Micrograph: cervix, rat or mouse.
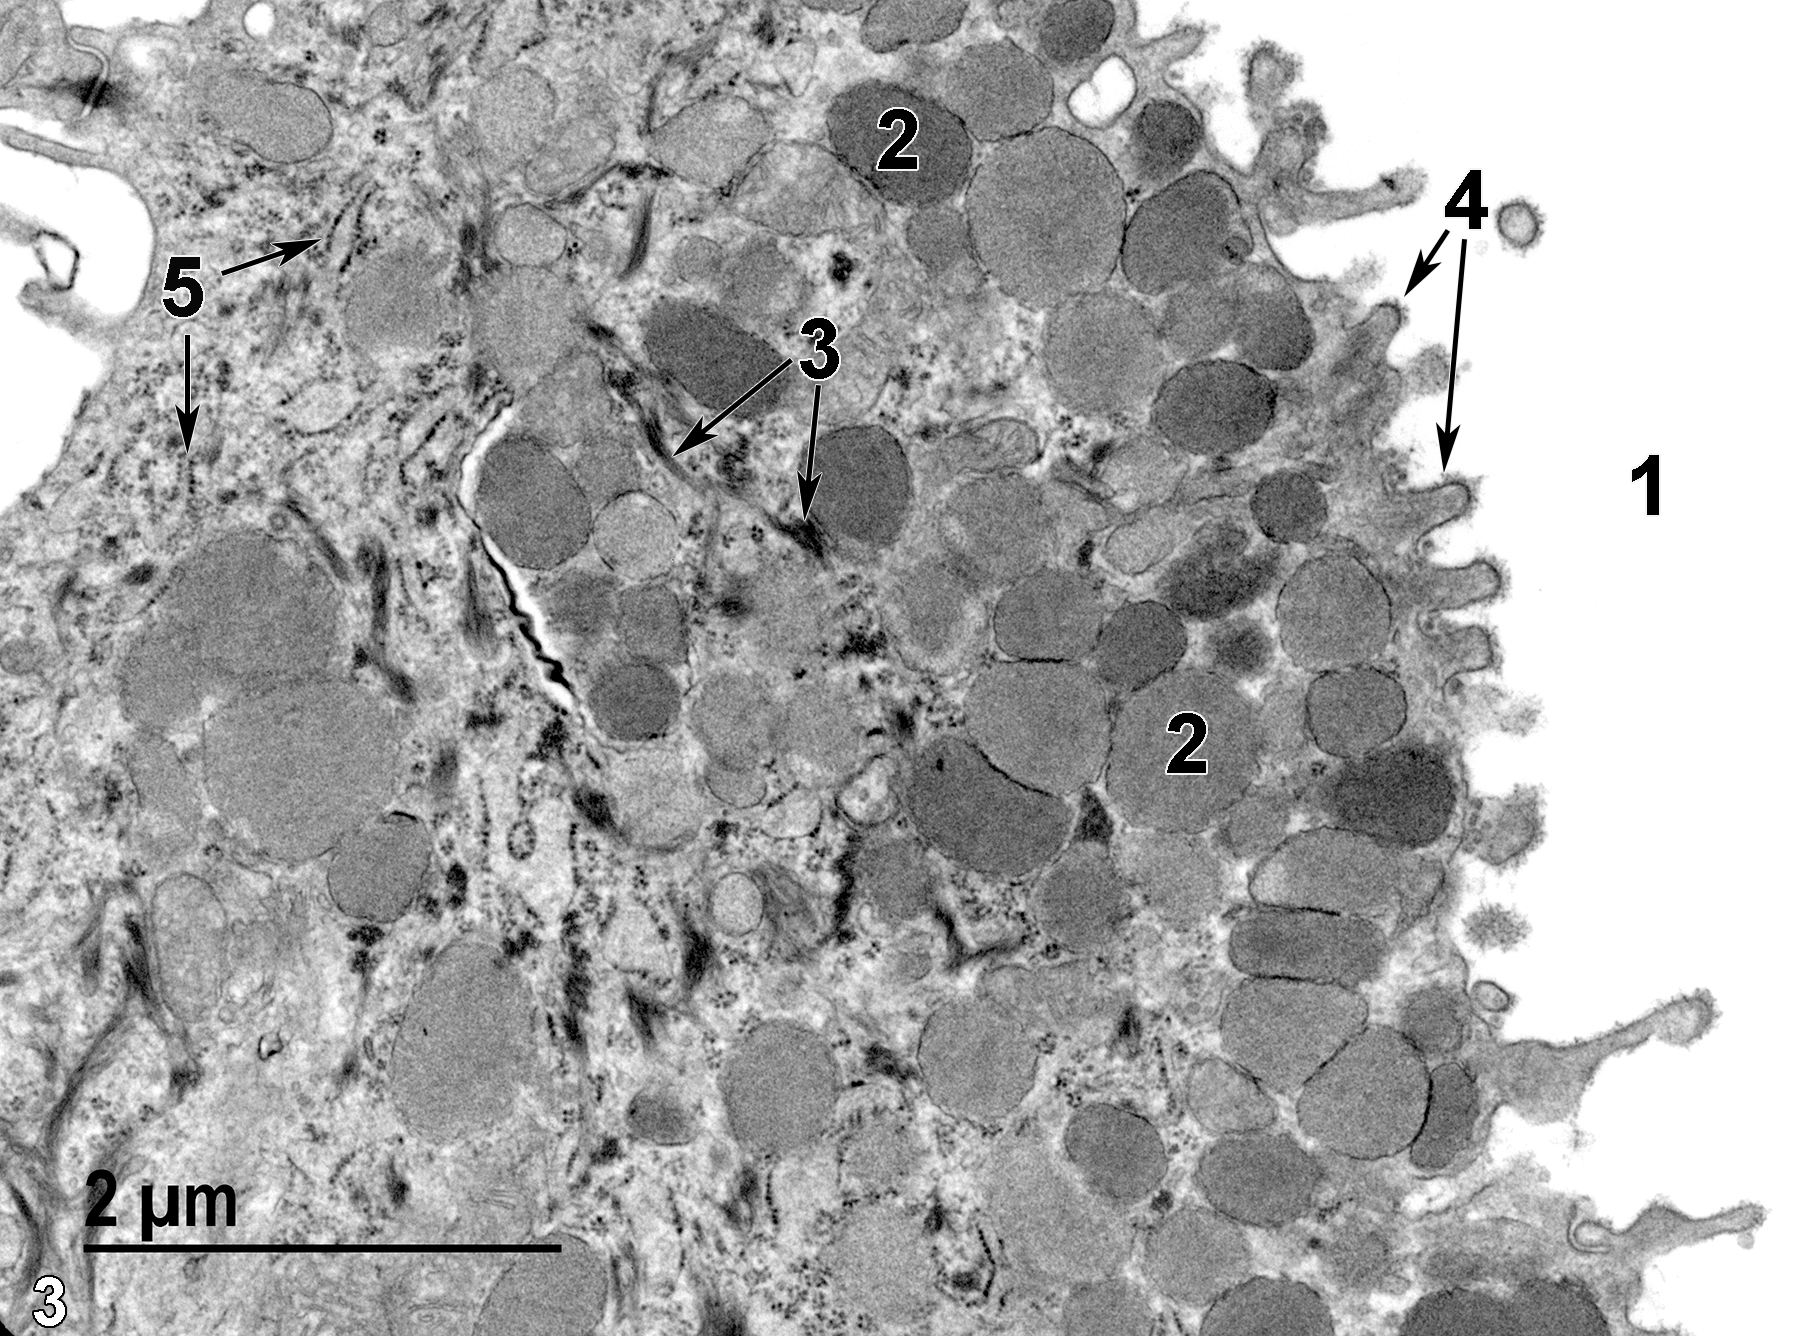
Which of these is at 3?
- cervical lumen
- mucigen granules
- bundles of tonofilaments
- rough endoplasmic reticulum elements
bundles of tonofilaments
